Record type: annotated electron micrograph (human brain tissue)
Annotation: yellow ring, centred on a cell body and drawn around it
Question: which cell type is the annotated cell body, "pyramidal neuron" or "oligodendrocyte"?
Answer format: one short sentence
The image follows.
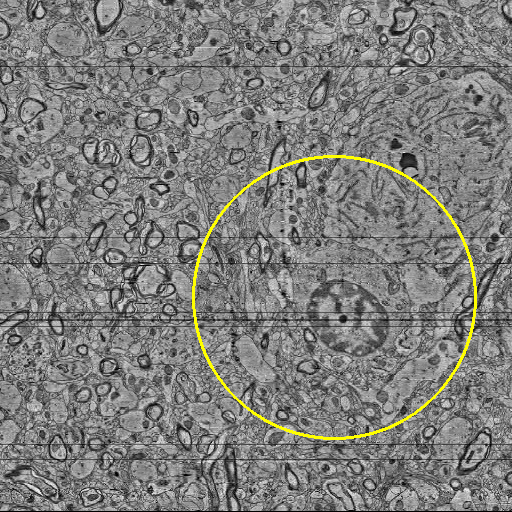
The annotated cell body is that of an oligodendrocyte.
